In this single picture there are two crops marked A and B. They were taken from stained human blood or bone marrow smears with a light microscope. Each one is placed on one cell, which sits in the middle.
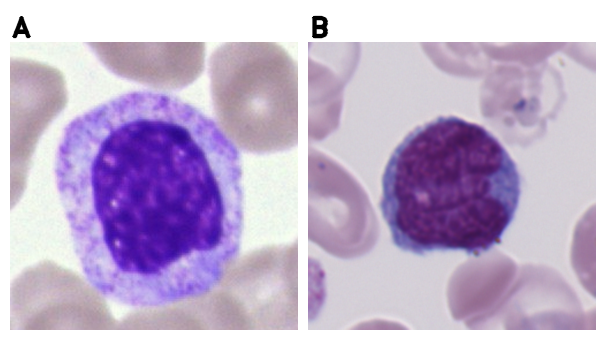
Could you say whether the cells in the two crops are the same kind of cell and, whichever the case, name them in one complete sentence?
No, crop B centres on a monocyte, and crop A centres on a myelocyte.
